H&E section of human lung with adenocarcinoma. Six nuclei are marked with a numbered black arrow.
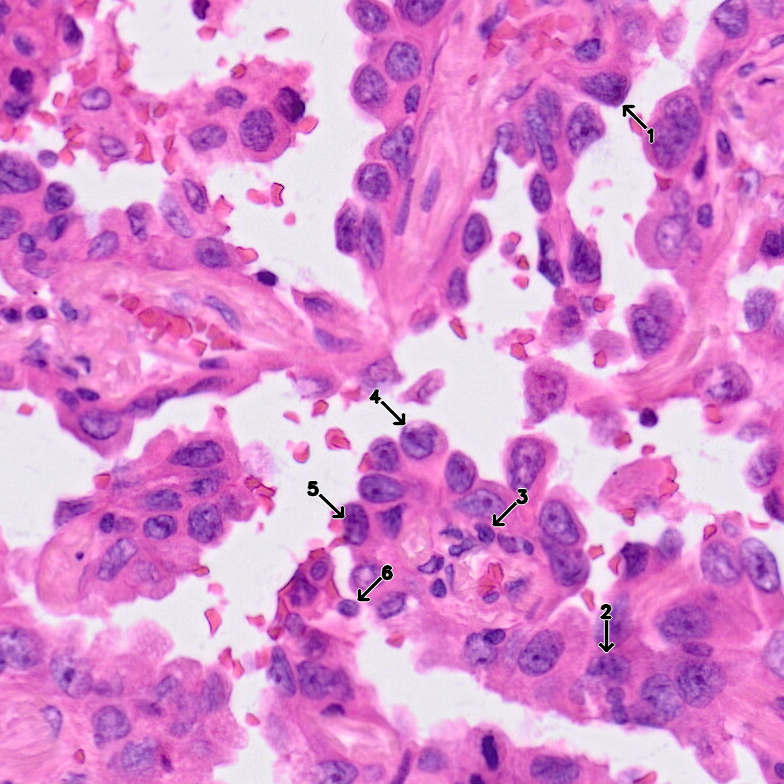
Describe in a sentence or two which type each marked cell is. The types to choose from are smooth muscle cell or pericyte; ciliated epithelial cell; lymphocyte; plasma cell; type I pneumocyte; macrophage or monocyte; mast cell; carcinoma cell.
Cell 1 is a carcinoma cell, cell 2 is a carcinoma cell, cell 3 is a lymphocyte, cell 4 is a carcinoma cell, cell 5 is a carcinoma cell and cell 6 is a lymphocyte.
